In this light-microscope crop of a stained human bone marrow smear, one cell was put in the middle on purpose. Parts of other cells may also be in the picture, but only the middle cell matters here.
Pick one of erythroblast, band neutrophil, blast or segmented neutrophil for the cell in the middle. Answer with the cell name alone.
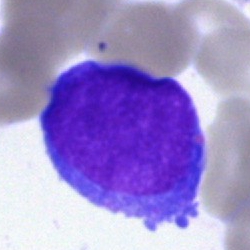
blast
